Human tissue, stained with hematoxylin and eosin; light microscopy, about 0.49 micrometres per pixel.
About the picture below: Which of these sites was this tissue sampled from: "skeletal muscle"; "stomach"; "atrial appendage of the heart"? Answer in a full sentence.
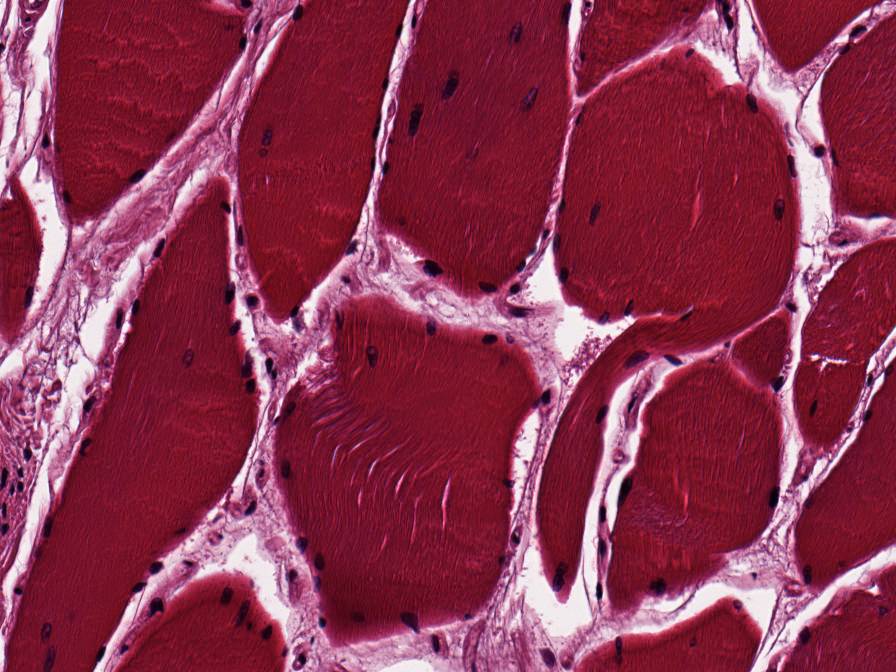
The site this tissue was sampled from is the skeletal muscle.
